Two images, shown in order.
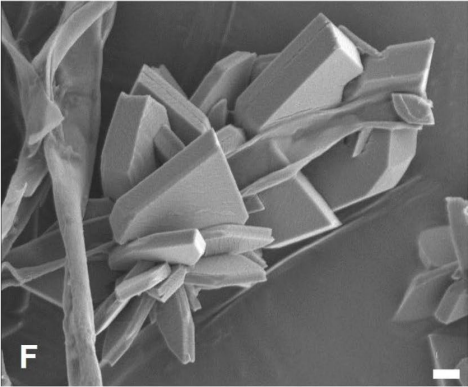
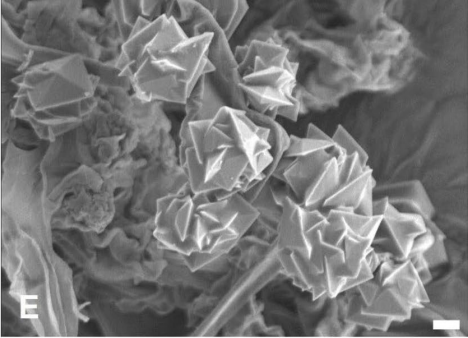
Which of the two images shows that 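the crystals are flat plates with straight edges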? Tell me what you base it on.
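First image: crystals are large flat angular plates stacked together. Second image: crystals are rounded rosettes of many small pointed facets. So: the first image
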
